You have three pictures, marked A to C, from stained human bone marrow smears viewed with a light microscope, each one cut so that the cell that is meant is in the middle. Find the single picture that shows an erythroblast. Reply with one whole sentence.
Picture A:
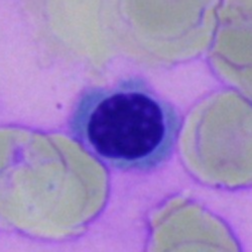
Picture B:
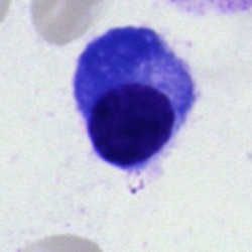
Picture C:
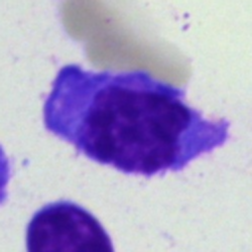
The picture with the erythroblast is A.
